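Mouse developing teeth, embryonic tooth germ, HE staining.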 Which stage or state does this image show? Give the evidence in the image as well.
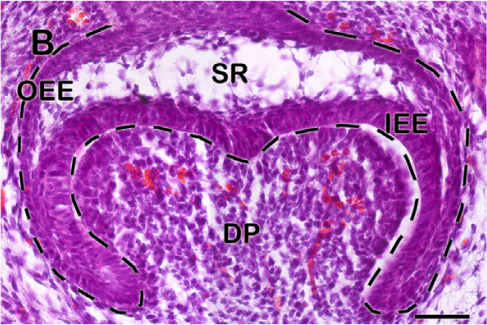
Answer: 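Bell stage. The epithelium forms a deep bell-shaped cap enclosing a large mesenchymal core. A loose, pale central epithelial region lies between an outer and an inner epithelial layer. The inner epithelial layer is folded into two cusps.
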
